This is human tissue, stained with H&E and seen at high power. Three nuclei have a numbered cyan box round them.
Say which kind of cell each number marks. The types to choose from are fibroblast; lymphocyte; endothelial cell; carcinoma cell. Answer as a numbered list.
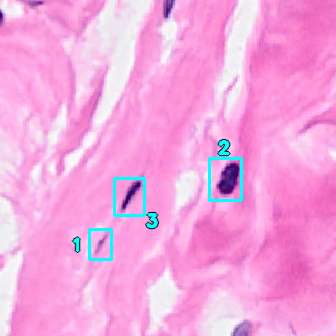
1. fibroblast
2. lymphocyte
3. fibroblast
